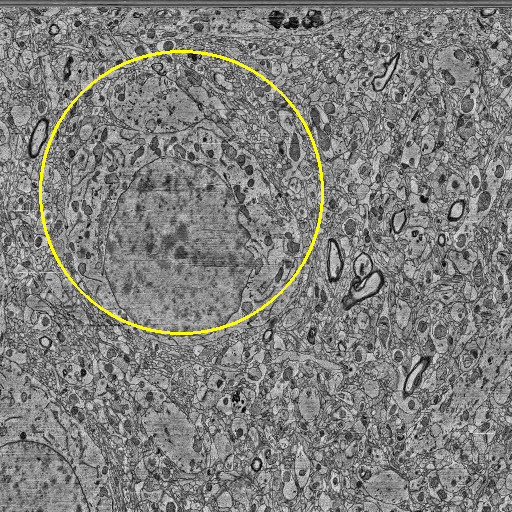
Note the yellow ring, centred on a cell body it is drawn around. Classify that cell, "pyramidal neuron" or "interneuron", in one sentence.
The cell the ring is centred on is an interneuron.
